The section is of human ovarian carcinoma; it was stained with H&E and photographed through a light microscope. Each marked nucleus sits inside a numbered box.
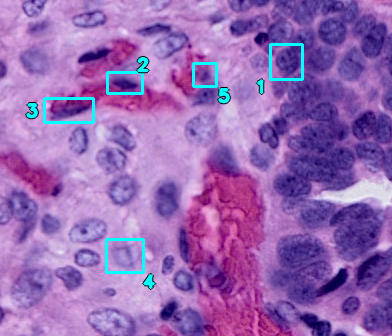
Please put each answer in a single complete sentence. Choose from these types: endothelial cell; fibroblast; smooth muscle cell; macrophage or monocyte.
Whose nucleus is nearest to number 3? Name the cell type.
Closest to number 3 lies the nucleus of a fibroblast.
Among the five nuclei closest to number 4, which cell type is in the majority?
Fibroblasts make up most of the five nuclei closest to number 4.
